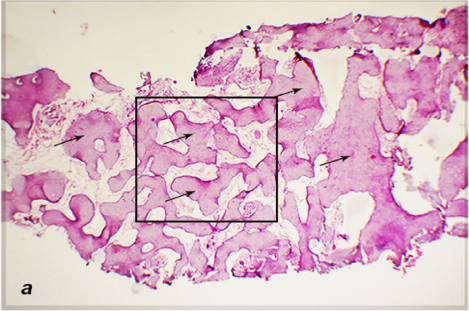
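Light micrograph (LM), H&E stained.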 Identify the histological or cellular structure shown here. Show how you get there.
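Pink-staining branching plates of bone interconnect across the sample. Pale loose spaces lie between the bony plates.
Conclusion: cancellous bone trabeculae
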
